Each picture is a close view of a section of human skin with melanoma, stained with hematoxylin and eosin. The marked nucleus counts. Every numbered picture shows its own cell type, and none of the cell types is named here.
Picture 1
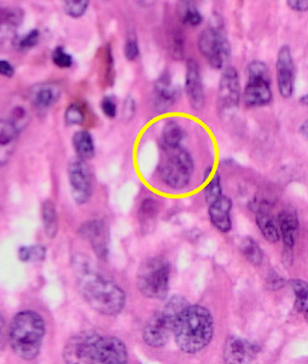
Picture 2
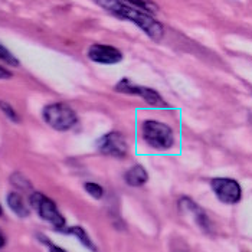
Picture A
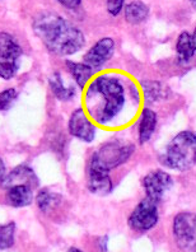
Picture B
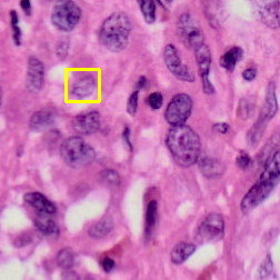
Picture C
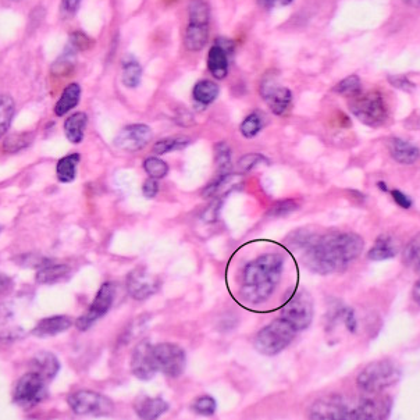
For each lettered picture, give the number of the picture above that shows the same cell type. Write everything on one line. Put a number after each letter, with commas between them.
A 1, B 1, C 1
